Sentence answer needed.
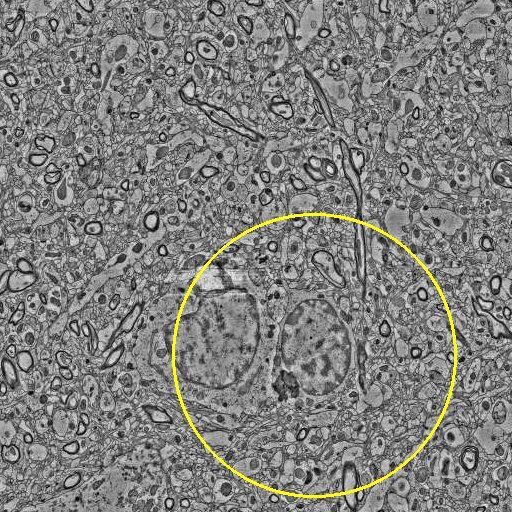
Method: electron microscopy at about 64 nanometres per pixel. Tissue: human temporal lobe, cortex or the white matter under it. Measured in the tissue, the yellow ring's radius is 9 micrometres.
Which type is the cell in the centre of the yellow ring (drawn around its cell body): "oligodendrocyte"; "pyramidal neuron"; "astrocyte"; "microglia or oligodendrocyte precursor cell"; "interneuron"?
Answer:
In the centre of the yellow ring is an oligodendrocyte.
